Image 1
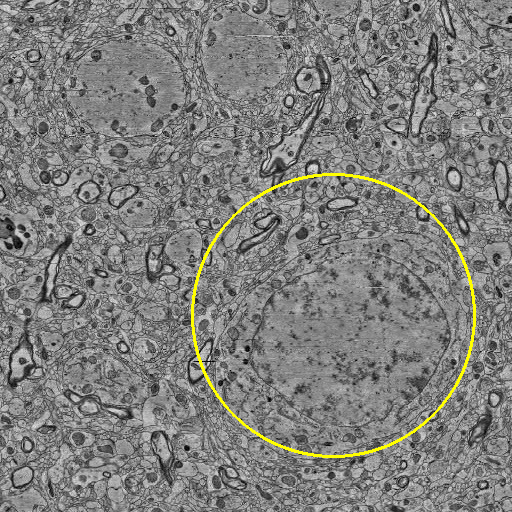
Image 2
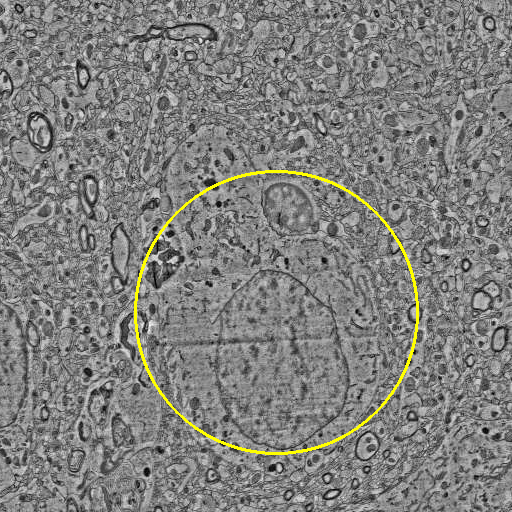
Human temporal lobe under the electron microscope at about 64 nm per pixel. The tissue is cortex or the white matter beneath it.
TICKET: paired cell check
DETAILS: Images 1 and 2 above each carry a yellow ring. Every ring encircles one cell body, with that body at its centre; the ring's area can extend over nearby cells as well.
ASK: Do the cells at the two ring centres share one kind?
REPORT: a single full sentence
Yes, the ring-centre cells of Images 1 and 2 belong to a single kind.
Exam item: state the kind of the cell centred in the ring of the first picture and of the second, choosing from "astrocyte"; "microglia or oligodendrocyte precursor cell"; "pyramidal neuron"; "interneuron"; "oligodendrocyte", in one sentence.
The cell at the ring centre is a pyramidal neuron in both pictures.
